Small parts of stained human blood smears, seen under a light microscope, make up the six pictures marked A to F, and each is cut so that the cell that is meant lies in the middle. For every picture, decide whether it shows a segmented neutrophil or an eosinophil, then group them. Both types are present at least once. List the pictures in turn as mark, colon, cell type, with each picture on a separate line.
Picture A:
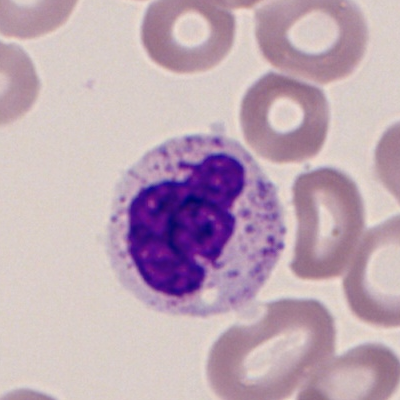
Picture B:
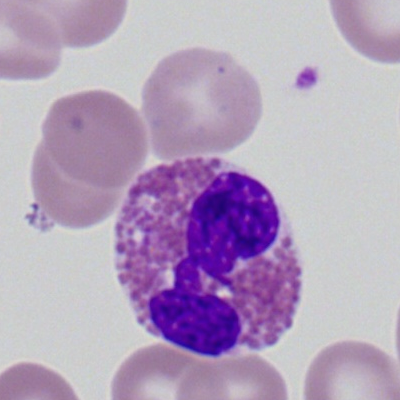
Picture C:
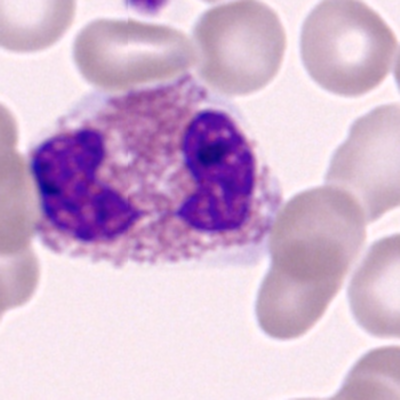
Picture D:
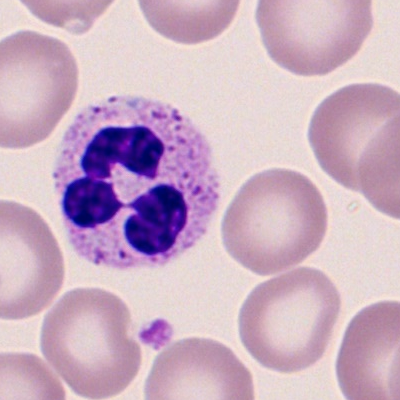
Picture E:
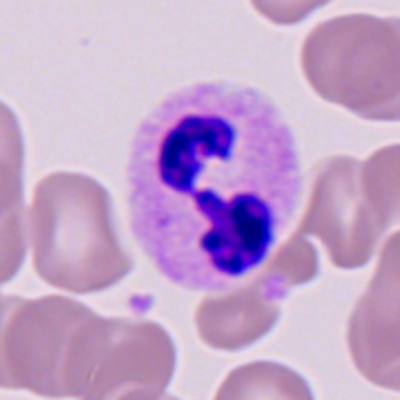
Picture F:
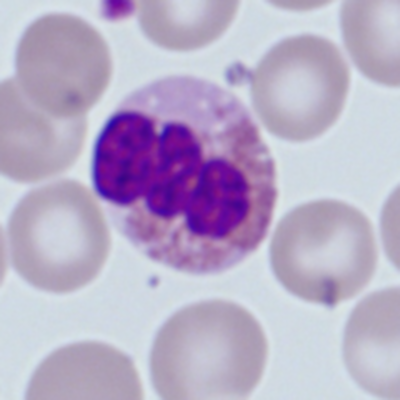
A: segmented neutrophil
B: eosinophil
C: eosinophil
D: segmented neutrophil
E: segmented neutrophil
F: eosinophil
